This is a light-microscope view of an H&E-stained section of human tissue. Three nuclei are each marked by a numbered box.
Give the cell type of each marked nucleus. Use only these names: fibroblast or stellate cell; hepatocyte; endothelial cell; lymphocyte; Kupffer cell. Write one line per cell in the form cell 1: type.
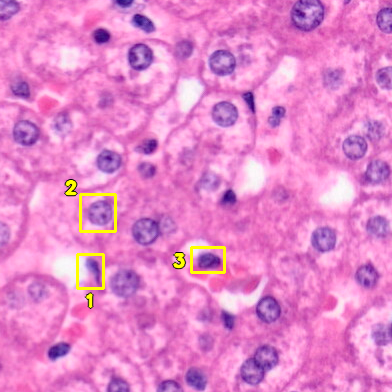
cell 1: endothelial cell
cell 2: hepatocyte
cell 3: Kupffer cell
